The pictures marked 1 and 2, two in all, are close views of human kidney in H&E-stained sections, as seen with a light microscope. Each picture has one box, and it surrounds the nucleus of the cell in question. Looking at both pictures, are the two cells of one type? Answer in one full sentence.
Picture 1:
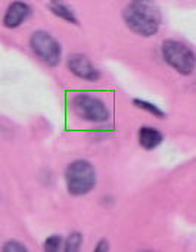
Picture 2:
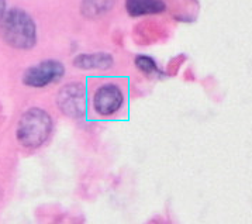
No, the types are not the same, since picture 1 shows a collecting duct cell and picture 2 a “loop of Henle or distal tubule cell”.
